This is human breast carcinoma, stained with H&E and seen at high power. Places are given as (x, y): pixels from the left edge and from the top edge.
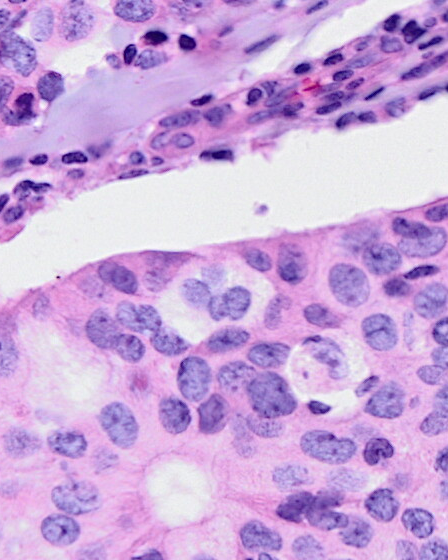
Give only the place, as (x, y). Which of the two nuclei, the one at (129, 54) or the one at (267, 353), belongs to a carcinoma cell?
(267, 353)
